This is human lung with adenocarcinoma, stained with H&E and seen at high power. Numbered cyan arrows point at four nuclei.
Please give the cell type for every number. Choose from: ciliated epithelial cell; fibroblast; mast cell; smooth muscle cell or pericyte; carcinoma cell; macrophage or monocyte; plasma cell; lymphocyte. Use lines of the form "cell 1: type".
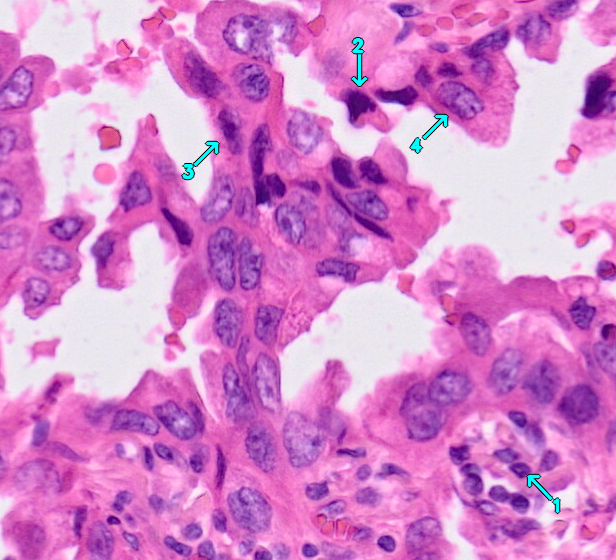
cell 1: lymphocyte
cell 2: carcinoma cell
cell 3: carcinoma cell
cell 4: carcinoma cell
